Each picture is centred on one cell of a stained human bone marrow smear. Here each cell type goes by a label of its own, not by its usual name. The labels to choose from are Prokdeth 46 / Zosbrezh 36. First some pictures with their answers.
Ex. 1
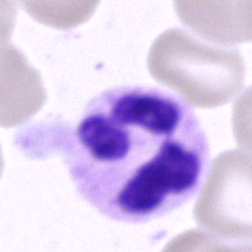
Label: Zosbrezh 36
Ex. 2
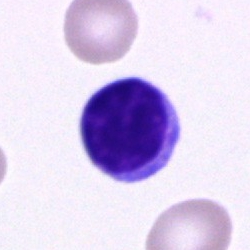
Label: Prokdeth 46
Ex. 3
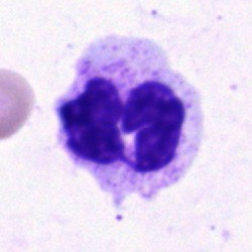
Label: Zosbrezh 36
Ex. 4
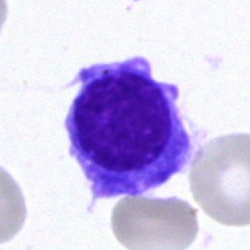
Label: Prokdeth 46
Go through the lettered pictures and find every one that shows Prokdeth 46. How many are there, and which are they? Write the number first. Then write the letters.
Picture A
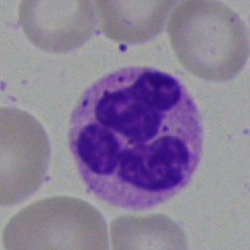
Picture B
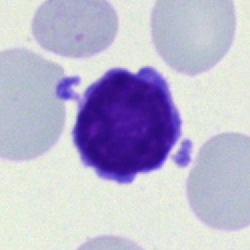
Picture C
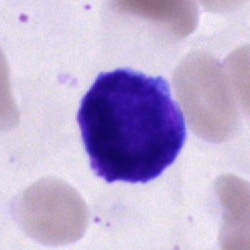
2, namely B, C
